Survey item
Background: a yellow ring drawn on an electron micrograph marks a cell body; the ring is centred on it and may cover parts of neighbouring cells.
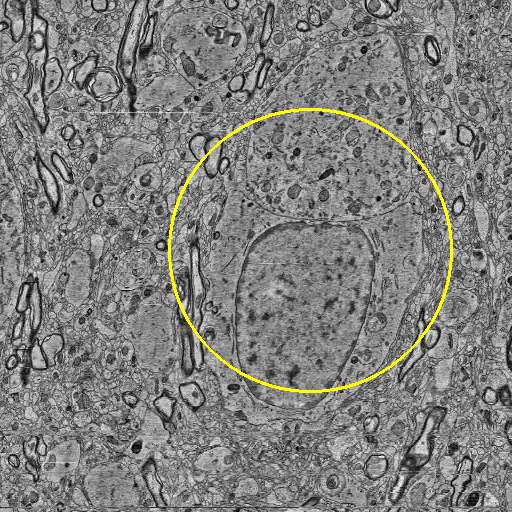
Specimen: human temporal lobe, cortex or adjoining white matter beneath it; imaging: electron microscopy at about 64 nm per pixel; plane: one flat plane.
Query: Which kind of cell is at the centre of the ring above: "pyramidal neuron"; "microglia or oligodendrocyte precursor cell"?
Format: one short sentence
The cell in the middle of the ring is a microglial cell or oligodendrocyte precursor cell.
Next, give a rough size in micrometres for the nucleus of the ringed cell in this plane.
About 13 by 9 micrometres in this plane.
